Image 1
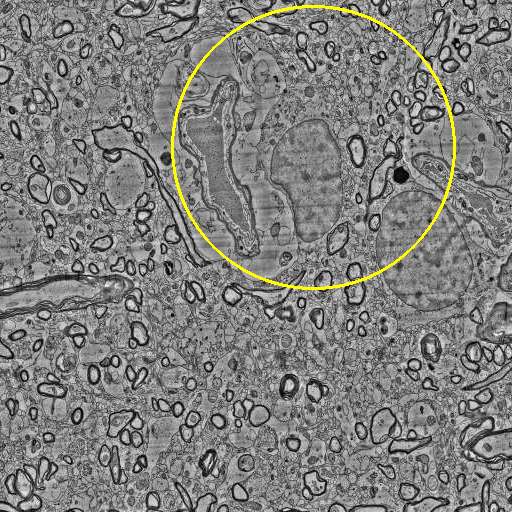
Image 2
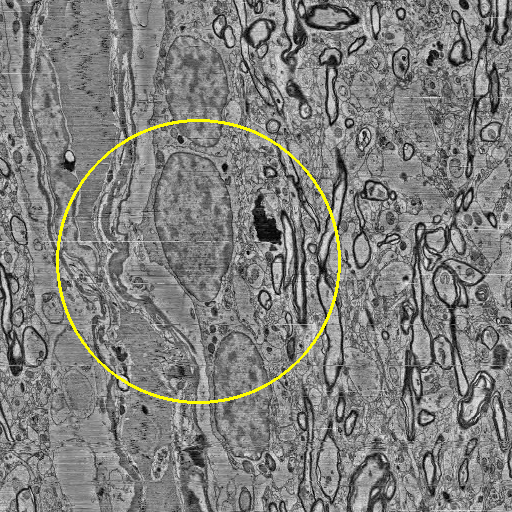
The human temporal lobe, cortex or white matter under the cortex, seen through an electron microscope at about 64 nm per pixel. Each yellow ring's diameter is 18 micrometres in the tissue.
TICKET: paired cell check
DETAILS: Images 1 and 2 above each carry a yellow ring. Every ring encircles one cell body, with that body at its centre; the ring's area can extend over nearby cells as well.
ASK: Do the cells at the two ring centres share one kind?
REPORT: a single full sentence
Yes, the ring-centre cells of Images 1 and 2 belong to a single kind.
